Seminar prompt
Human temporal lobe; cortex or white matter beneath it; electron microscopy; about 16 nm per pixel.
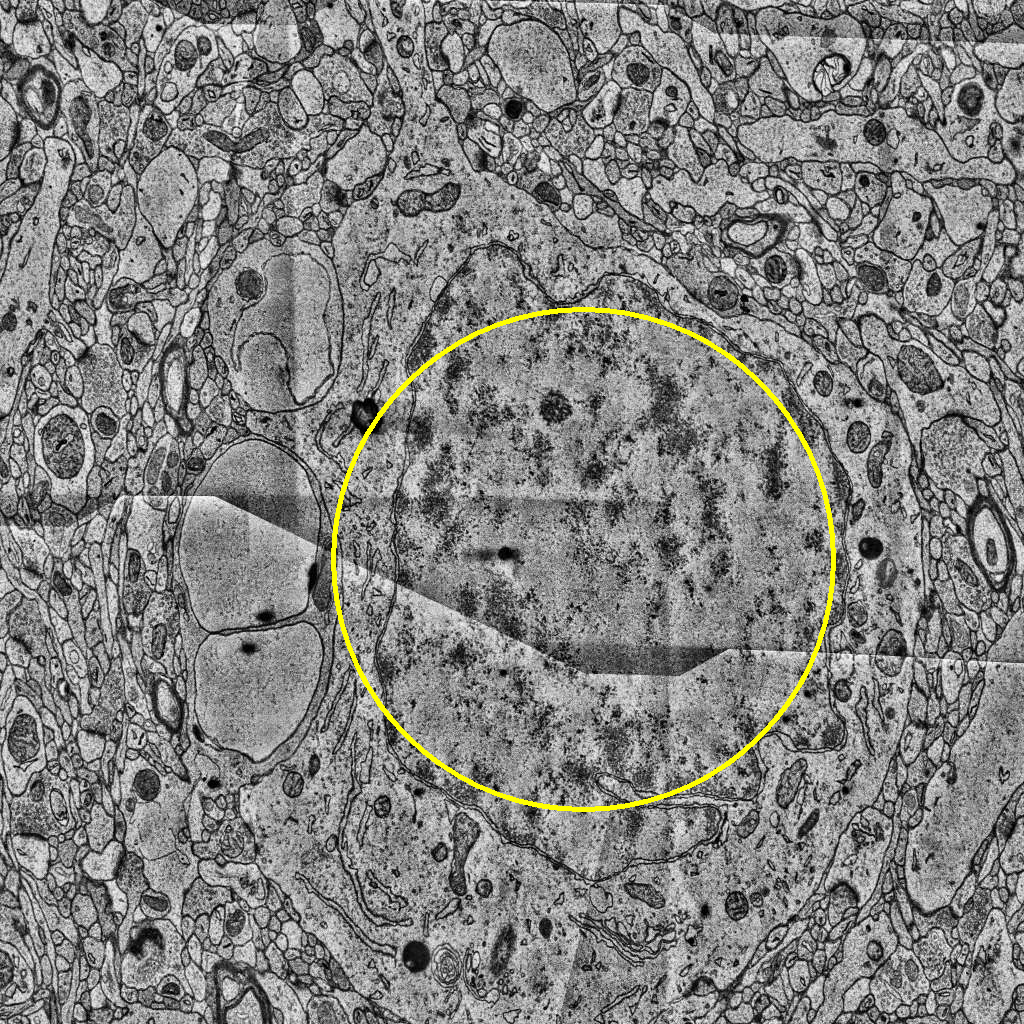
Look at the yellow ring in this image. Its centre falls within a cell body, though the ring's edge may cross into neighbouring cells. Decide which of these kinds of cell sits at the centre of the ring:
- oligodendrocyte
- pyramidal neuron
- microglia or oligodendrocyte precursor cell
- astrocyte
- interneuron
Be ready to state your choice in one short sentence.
The kind of cell at the ring's centre is an interneuron.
